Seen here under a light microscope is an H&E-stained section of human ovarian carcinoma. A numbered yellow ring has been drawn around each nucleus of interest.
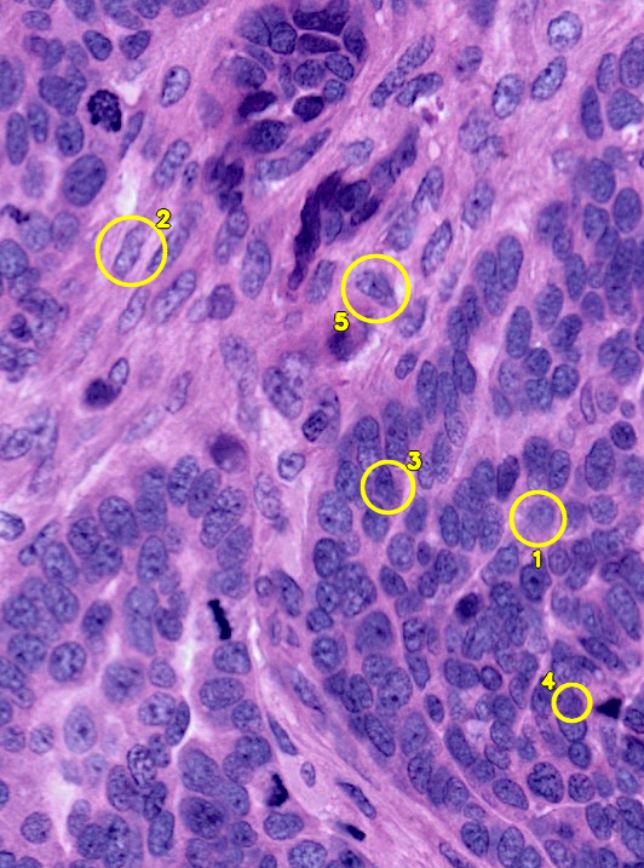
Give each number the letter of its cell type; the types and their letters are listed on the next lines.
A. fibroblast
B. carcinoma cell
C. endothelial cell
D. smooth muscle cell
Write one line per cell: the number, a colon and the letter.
1: B
2: A
3: B
4: B
5: A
